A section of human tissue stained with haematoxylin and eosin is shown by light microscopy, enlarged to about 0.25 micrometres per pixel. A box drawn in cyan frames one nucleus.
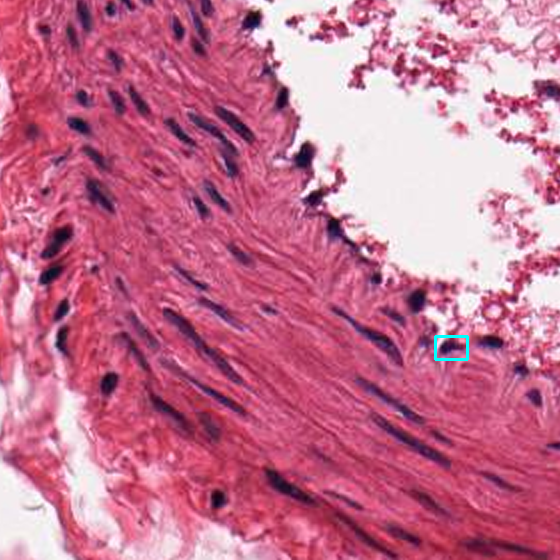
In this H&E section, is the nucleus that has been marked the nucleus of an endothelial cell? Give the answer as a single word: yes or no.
yes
